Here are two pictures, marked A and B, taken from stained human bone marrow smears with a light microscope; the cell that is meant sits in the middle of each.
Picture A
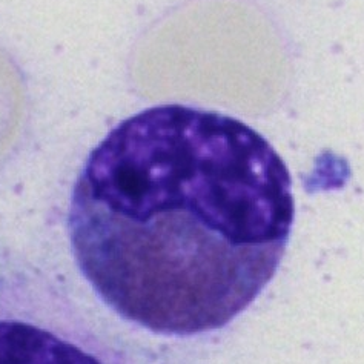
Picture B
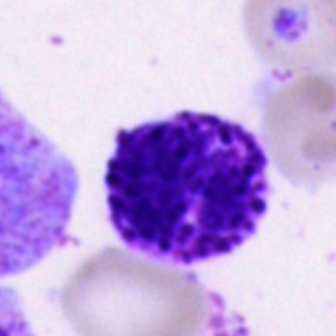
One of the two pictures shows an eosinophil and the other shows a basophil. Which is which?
A: eosinophil
B: basophil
